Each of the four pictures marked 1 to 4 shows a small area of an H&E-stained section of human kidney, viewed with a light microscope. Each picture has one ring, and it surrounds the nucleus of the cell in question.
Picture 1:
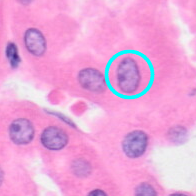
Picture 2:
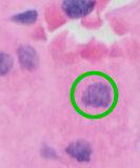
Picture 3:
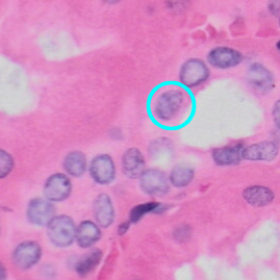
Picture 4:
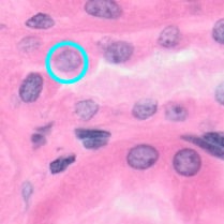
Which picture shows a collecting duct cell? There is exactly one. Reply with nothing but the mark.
3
